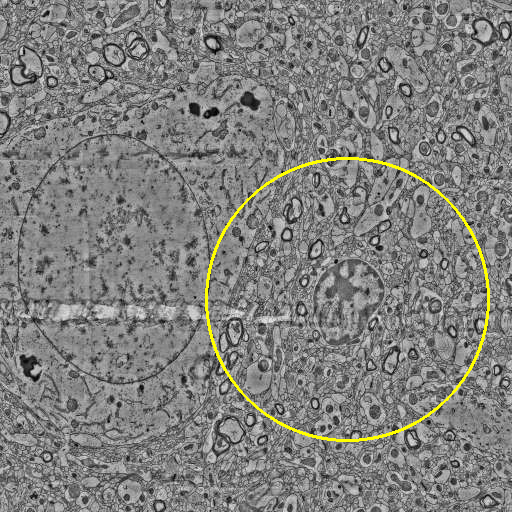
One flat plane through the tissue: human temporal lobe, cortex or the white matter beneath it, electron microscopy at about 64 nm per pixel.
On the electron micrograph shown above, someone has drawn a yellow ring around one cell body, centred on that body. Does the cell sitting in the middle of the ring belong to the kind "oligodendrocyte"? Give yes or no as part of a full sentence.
No, the cell located in the middle of the ring in the micrograph is of a different kind.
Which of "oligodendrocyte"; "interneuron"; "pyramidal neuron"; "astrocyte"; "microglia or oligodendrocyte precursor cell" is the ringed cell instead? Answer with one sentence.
In this picture, the ring is centred on a microglial cell or oligodendrocyte precursor cell.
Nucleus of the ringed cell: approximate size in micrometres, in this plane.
In this plane, approximately 6 by 4 micrometers.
